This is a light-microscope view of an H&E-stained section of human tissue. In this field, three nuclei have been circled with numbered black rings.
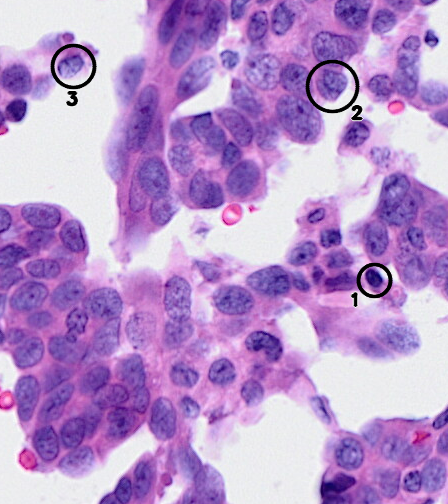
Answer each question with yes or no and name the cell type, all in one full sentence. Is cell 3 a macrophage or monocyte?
Yes, the cell bearing the number 3 is a macrophage or monocyte.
